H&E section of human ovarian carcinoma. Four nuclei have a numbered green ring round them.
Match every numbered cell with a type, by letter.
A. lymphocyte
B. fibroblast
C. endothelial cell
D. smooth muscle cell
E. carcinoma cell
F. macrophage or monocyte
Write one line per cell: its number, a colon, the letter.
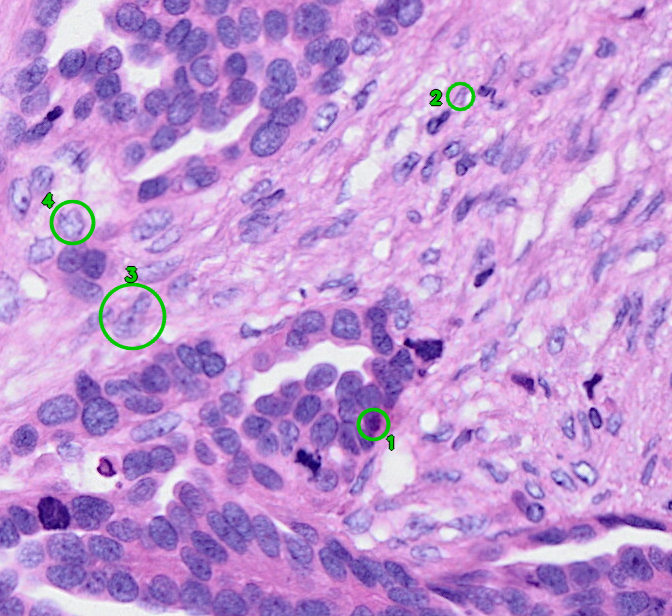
1: E
2: B
3: B
4: B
